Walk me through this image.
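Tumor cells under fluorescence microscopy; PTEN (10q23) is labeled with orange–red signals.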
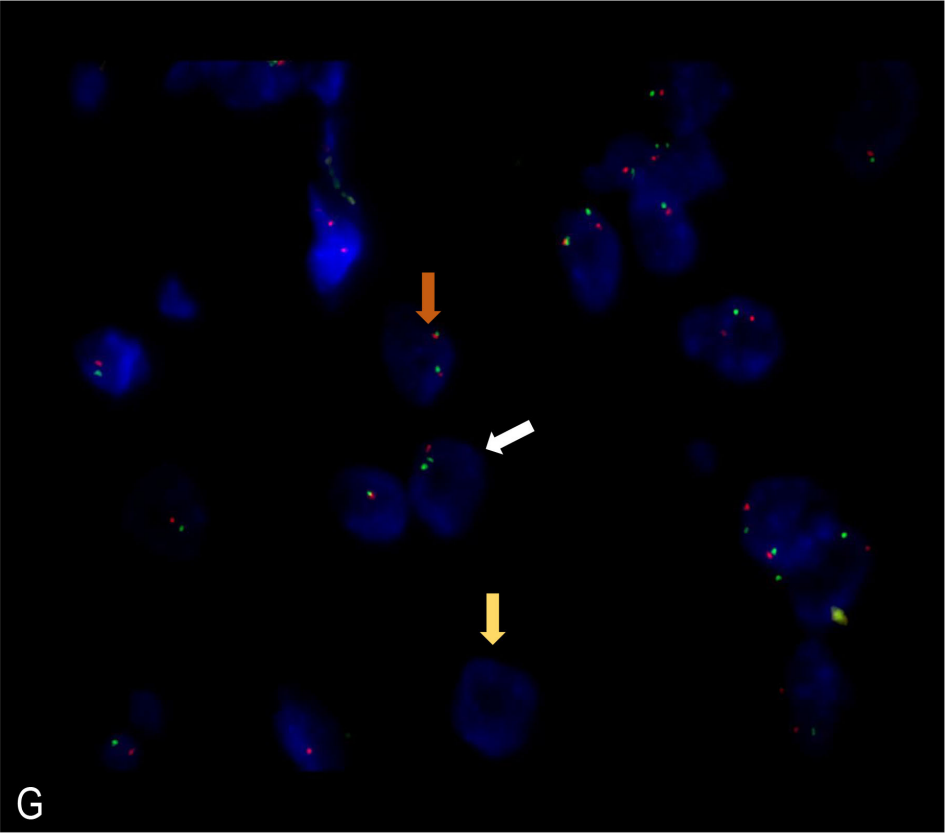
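Inside most nuclei are a few small, sharp dots, some red and some green. The number of red dots differs from nucleus to nucleus: some carry two red dots, some only one, and a few have none at all. Several nuclei lie close together or overlap, so their dots have to be counted carefully one nucleus at a time.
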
